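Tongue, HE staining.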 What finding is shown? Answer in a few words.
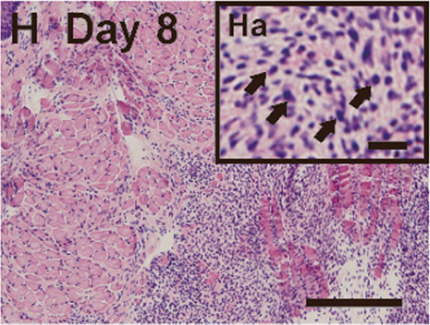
Inflammatory cell infiltration.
